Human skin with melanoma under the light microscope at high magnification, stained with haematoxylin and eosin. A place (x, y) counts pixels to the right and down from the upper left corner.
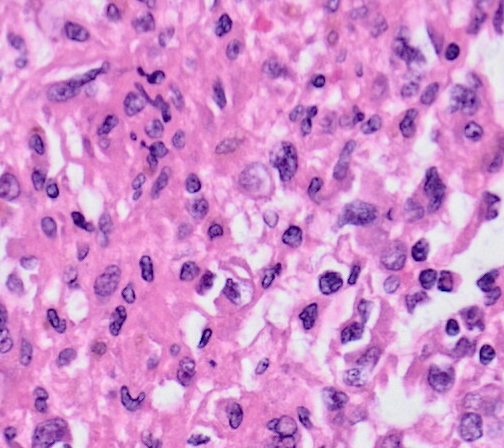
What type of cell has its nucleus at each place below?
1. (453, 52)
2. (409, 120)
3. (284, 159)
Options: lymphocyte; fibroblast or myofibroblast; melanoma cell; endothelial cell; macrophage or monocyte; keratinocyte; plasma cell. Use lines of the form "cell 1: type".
cell 1: lymphocyte
cell 2: macrophage or monocyte
cell 3: melanoma cell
